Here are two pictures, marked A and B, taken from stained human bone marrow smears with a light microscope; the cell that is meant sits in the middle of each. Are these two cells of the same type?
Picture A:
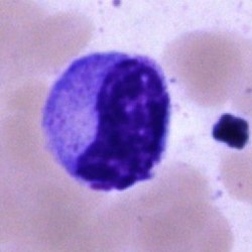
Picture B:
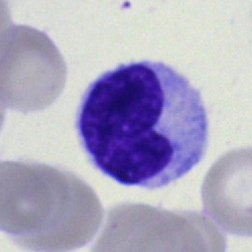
yes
